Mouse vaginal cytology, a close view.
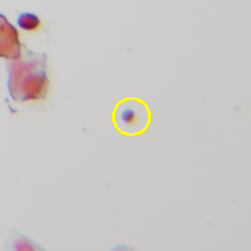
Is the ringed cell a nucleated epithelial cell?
No, it is a leukocyte.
